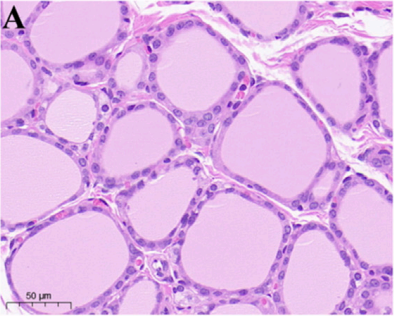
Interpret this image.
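This is thyroid gland tissue made of closely packed, rounded follicles of varying size. Each follicle is lined by a single layer of flattened to low cuboidal epithelial cells with small, dark, oval nuclei. The follicle lumens are filled with homogeneous pale pink colloid. Thin strands of connective tissue with small capillaries containing red blood cells lie between the follicles.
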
